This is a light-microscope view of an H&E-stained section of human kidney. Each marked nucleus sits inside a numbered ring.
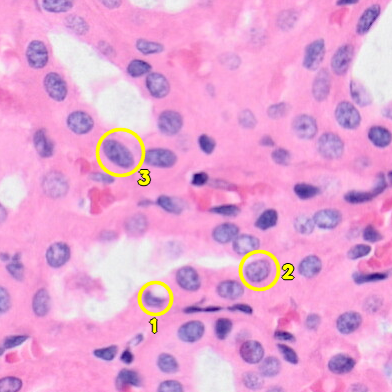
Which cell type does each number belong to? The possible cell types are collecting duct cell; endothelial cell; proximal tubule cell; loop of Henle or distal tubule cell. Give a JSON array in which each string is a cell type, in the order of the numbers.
["loop of Henle or distal tubule cell", "loop of Henle or distal tubule cell", "collecting duct cell"]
